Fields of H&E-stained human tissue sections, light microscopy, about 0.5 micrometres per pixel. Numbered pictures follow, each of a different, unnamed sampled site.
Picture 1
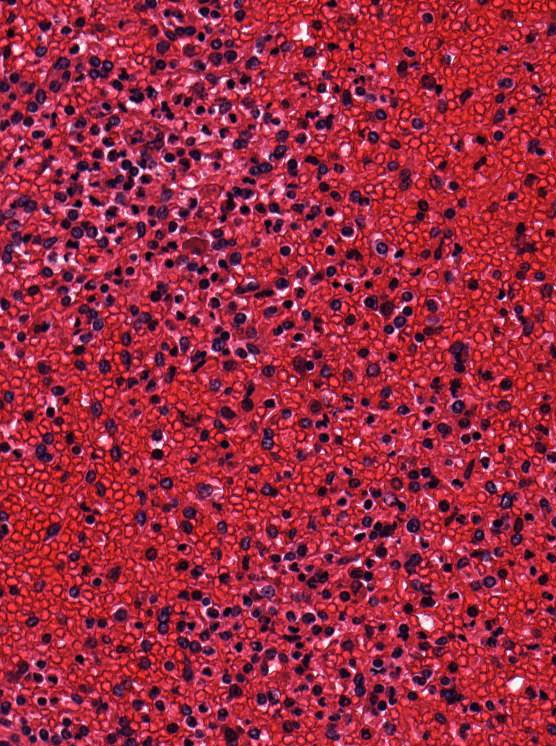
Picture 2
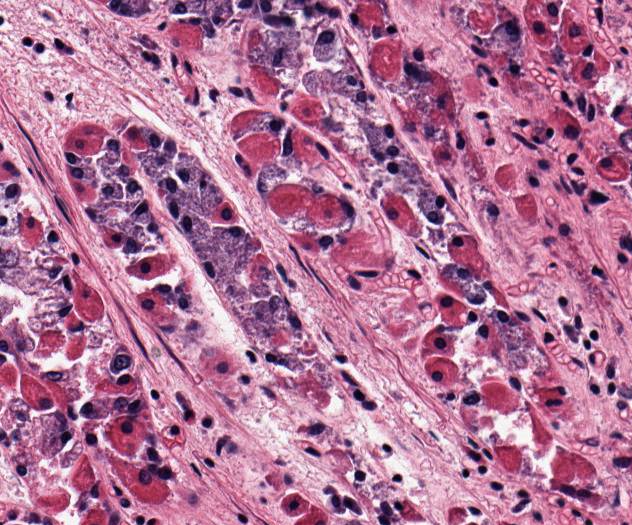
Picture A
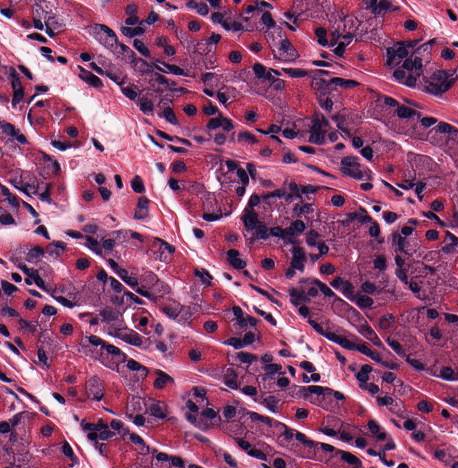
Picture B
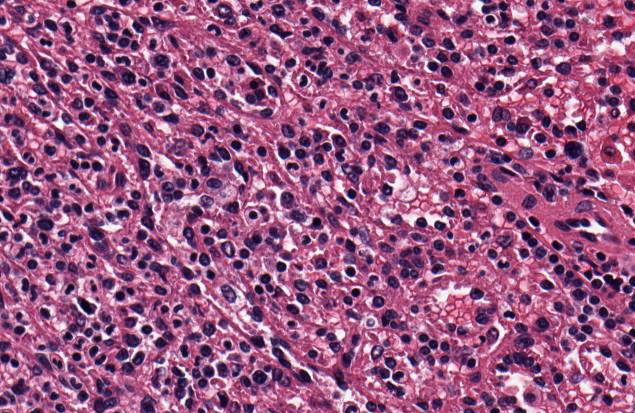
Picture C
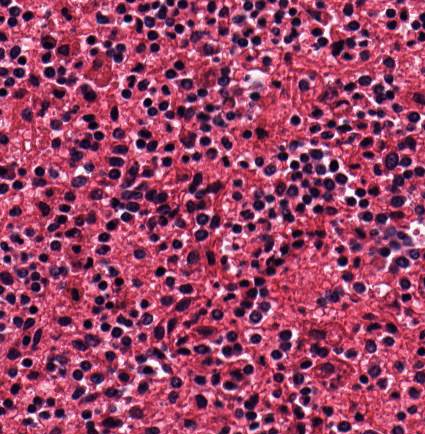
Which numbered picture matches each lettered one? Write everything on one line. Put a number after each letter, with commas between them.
A 2, B 1, C 1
